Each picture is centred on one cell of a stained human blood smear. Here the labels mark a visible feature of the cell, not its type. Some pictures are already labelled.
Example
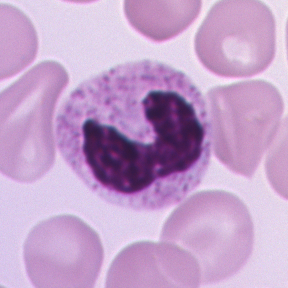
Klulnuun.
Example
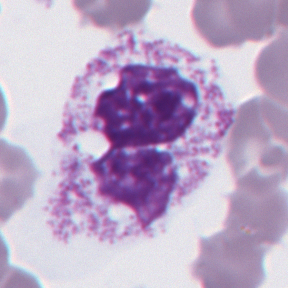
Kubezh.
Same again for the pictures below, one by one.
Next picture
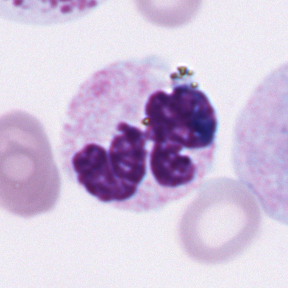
Klulnuun.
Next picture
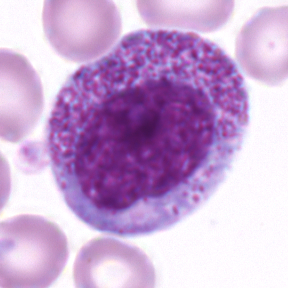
Kubezh.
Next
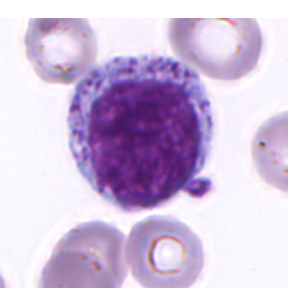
Kubezh.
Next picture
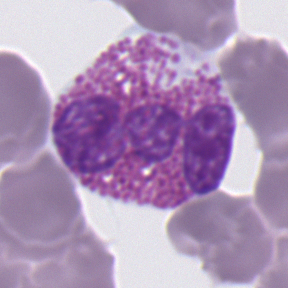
Kubezh.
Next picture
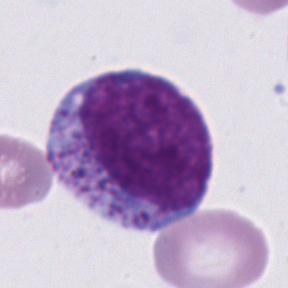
Kubezh.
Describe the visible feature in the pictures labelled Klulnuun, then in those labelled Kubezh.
Klulnuun, fine or small granules; Kubezh, coarse or large granules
